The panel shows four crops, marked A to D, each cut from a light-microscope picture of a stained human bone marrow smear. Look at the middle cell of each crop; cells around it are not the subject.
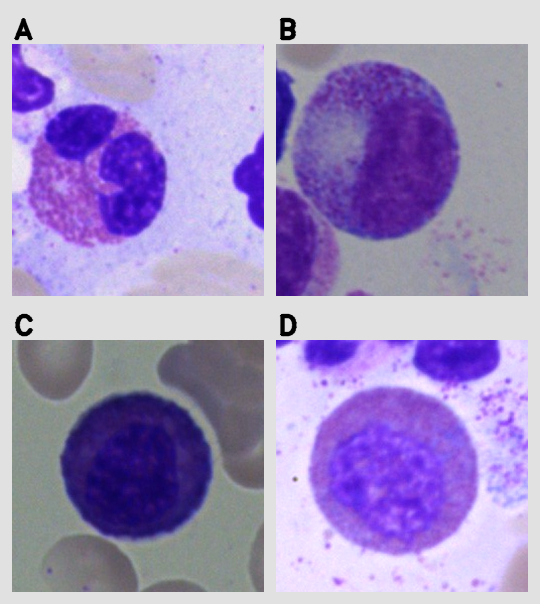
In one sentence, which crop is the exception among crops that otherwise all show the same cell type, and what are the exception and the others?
Apart from crop B, a promyelocyte, the crops all show eosinophils.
